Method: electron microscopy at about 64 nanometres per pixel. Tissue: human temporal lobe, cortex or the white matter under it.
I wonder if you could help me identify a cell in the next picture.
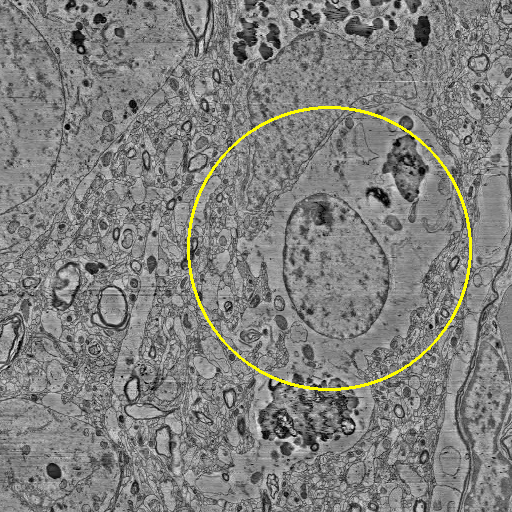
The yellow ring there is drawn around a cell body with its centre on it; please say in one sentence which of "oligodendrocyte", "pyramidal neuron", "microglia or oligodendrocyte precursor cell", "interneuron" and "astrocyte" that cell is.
The yellow ring is centred on an astrocyte.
